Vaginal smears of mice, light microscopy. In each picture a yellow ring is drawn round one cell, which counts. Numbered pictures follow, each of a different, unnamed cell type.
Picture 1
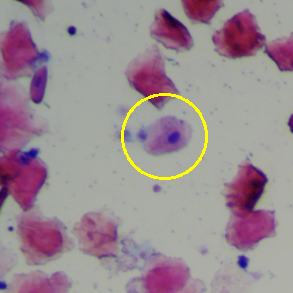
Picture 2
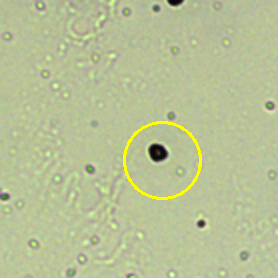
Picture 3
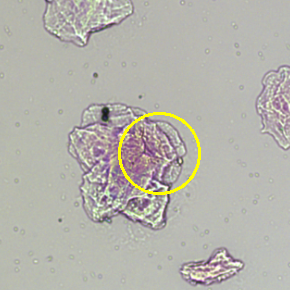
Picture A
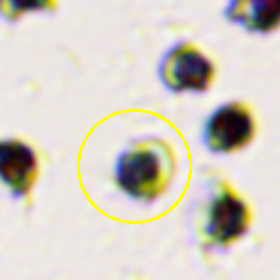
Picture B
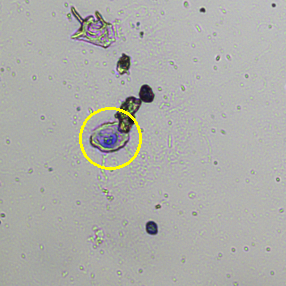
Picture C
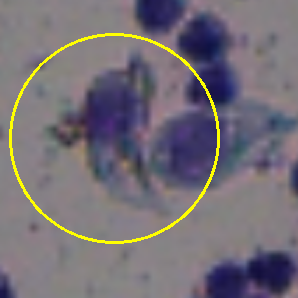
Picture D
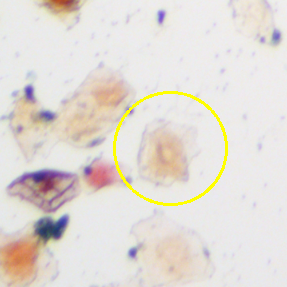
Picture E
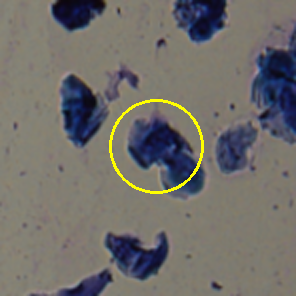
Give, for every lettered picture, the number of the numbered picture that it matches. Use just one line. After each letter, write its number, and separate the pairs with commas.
A 2, B 1, C 1, D 3, E 3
